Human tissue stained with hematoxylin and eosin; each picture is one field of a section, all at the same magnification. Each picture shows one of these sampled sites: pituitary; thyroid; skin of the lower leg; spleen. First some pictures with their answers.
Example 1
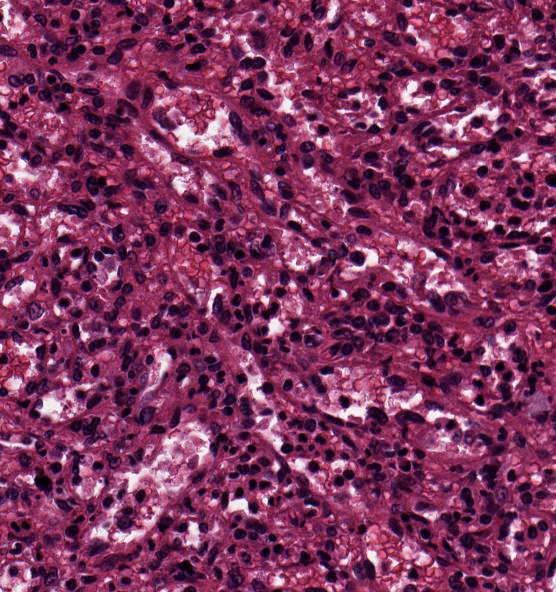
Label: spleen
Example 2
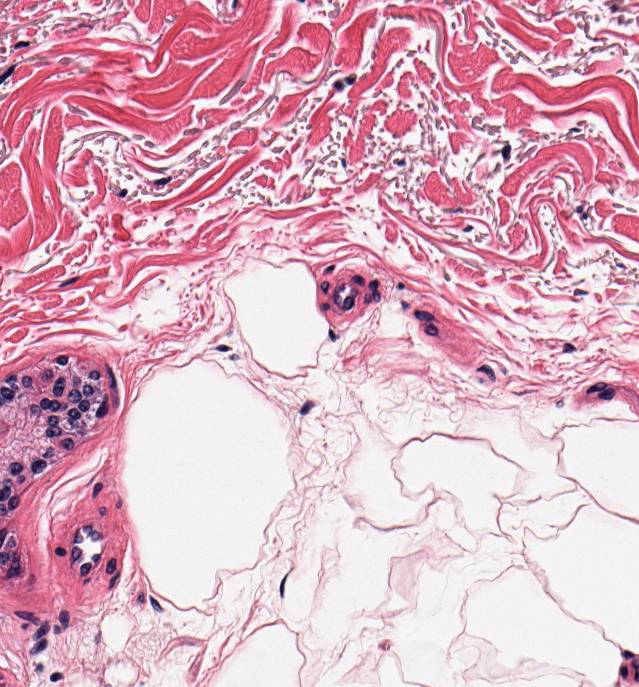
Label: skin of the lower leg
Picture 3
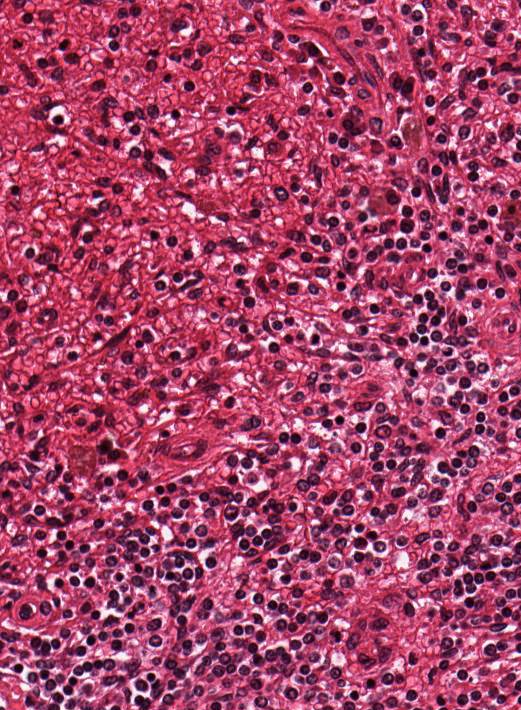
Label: spleen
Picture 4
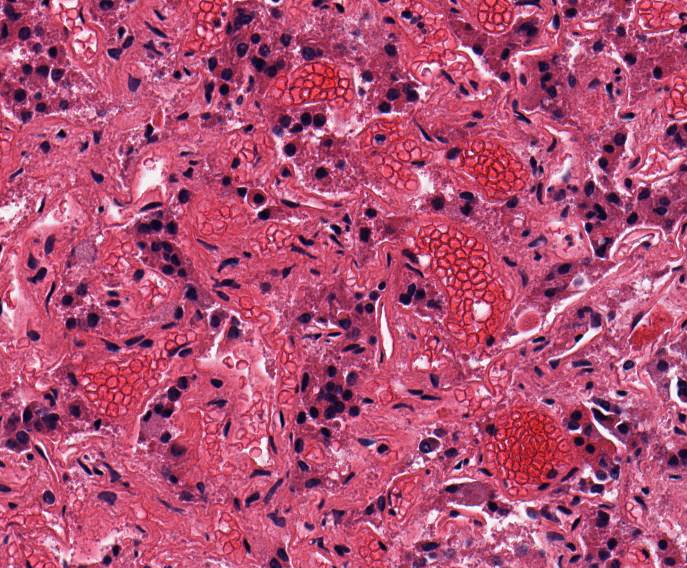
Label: pituitary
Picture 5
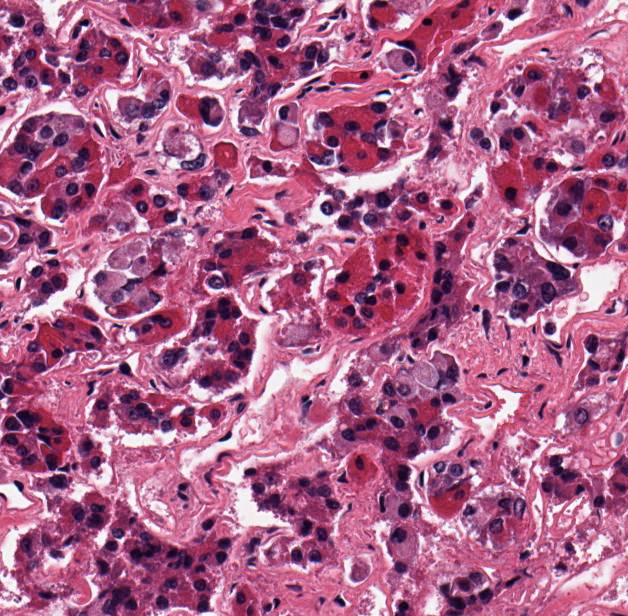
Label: pituitary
